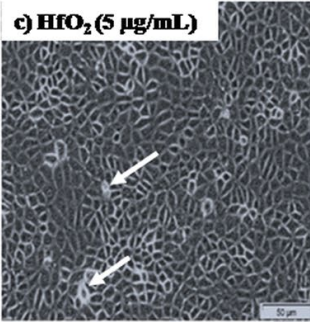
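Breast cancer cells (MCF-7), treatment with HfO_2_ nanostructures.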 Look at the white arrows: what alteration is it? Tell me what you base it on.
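Cell death. The arrows point to rounded, bright cells within the flat monolayer.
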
